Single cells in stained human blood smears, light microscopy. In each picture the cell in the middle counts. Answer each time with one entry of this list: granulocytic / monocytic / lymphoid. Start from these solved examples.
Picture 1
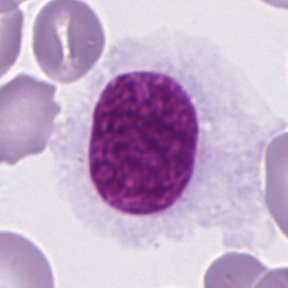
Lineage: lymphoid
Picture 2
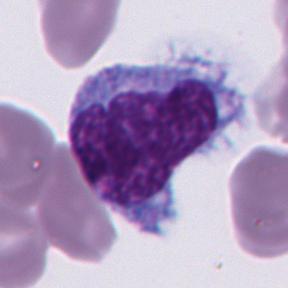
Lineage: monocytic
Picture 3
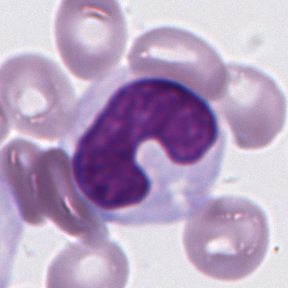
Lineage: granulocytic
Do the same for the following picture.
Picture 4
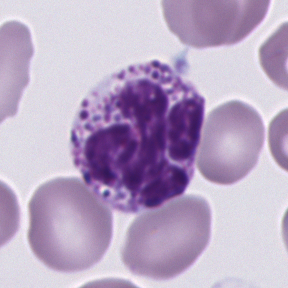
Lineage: granulocytic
